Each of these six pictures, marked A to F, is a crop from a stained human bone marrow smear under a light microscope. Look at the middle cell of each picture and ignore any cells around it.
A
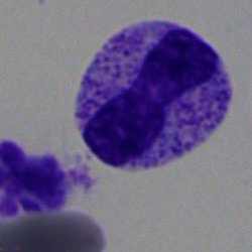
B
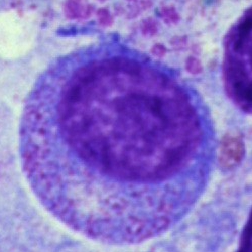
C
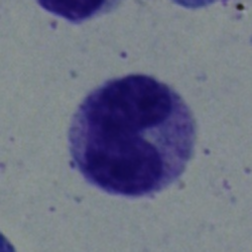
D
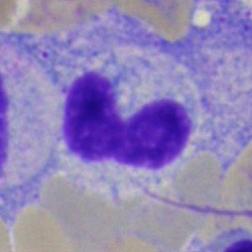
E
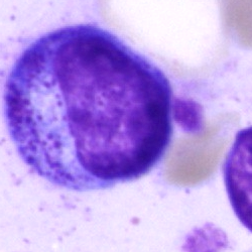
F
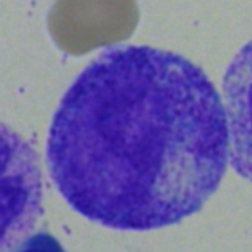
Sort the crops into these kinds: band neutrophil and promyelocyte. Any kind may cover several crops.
A: band neutrophil
B: promyelocyte
C: band neutrophil
D: band neutrophil
E: promyelocyte
F: promyelocyte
